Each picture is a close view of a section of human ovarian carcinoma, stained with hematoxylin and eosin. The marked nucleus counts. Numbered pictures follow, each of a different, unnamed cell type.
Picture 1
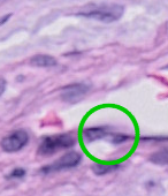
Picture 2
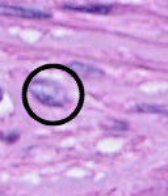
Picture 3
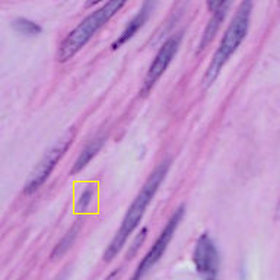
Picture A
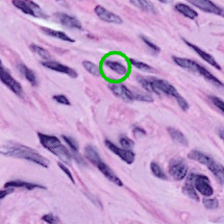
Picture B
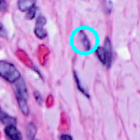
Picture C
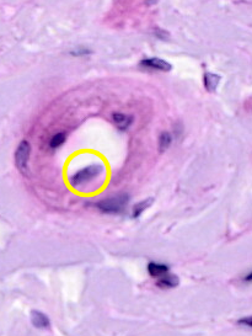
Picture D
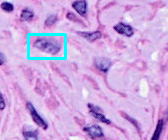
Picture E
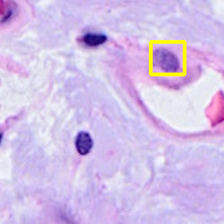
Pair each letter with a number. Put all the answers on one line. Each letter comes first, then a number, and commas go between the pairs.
A 3, B 2, C 1, D 2, E 1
